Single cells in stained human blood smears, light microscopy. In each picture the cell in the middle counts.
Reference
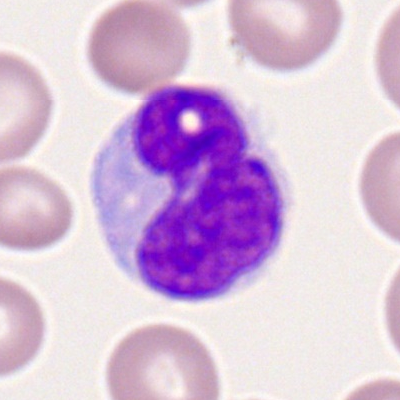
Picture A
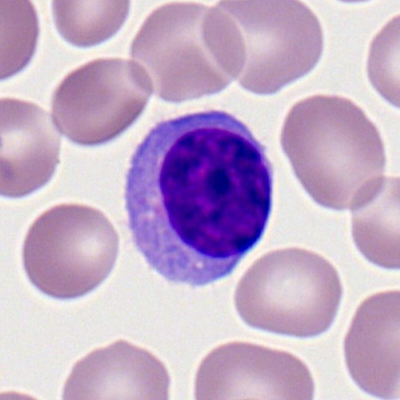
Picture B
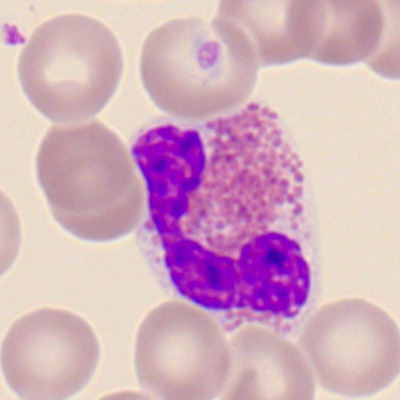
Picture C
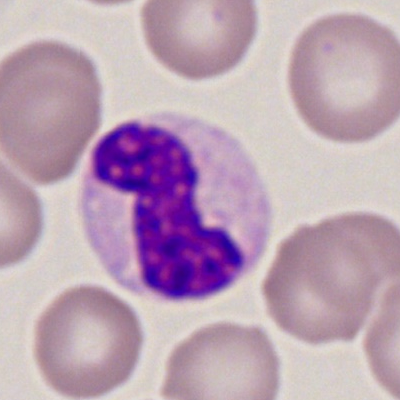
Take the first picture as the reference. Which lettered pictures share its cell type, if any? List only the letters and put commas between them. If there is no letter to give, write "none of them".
none of them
